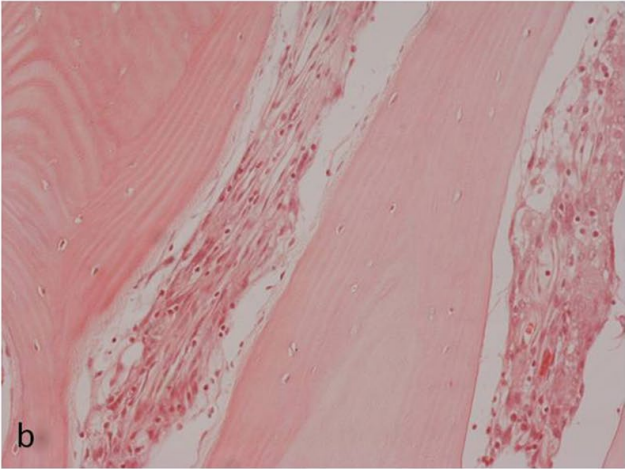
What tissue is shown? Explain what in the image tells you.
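Intertrabecular fibrous tissue. Bands of cellular pale pink tissue lie between broad pink bony trabeculae. The bone contains scattered small lacunae.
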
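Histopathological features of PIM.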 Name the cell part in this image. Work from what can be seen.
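Spindle-shaped and vesicular nuclei. Many elongated nuclei lie in the bands between the bone. Some nuclei are oval and pale.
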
